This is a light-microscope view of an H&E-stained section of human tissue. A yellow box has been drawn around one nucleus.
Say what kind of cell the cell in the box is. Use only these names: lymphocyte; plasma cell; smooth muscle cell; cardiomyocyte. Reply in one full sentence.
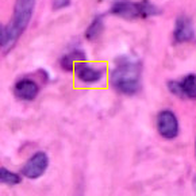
The cell meant here is a plasma cell.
